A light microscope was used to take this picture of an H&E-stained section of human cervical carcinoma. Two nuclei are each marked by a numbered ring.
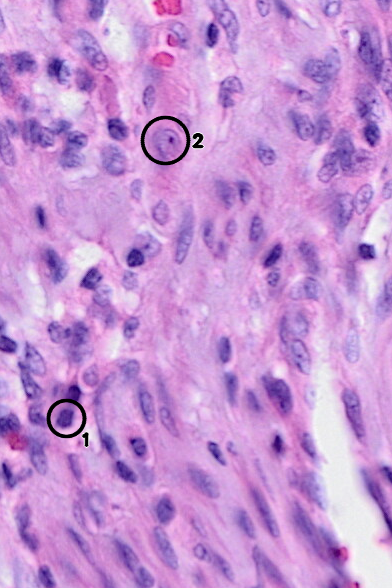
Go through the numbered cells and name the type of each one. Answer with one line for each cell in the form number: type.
1: lymphocyte
2: endothelial cell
